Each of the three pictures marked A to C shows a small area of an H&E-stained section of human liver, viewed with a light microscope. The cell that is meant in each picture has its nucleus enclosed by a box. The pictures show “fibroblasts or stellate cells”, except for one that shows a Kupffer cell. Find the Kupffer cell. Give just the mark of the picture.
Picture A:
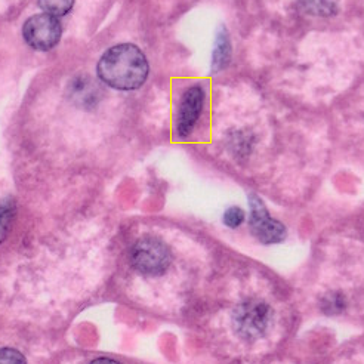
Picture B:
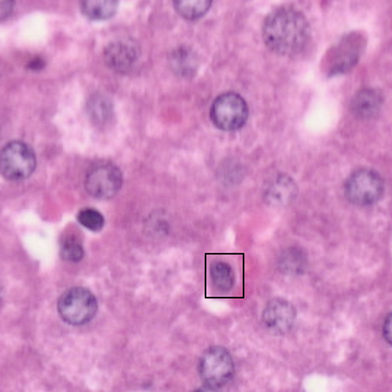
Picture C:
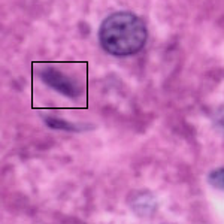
B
